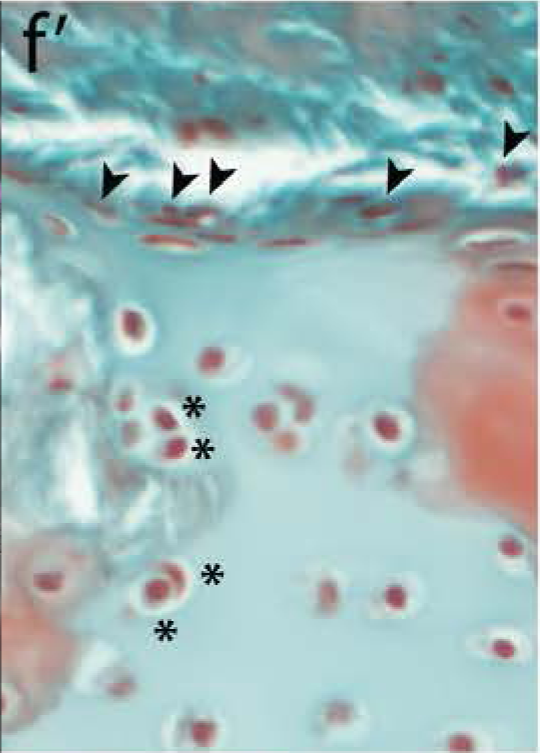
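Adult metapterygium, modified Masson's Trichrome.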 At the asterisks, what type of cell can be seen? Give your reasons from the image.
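Chondrocytes. Asterisks sit beside rounded nuclei in lacunae. The cells are embedded in a pale blue homogeneous matrix.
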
